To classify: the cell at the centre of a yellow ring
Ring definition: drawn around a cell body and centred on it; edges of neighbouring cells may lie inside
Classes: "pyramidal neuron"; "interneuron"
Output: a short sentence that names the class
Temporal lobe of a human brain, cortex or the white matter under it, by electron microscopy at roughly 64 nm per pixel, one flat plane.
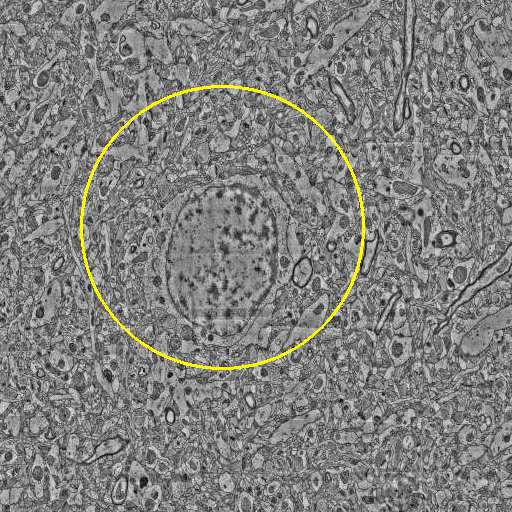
The ringed cell is an interneuron.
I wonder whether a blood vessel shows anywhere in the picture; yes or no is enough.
No, there is no blood vessel in the image.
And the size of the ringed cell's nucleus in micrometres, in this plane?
In this plane the nucleus measures roughly 10 by 7 micrometers.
